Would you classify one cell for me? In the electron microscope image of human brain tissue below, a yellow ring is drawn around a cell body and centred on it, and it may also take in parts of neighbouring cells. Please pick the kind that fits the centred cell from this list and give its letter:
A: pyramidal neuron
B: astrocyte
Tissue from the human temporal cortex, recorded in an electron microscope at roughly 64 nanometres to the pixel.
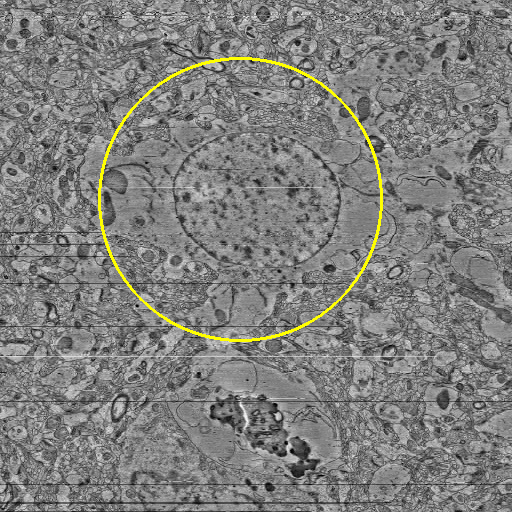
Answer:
B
